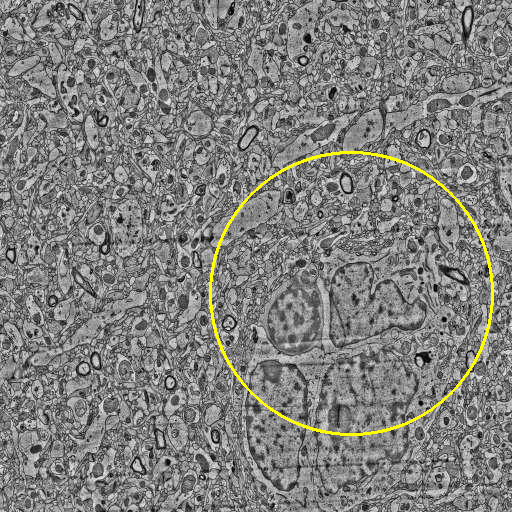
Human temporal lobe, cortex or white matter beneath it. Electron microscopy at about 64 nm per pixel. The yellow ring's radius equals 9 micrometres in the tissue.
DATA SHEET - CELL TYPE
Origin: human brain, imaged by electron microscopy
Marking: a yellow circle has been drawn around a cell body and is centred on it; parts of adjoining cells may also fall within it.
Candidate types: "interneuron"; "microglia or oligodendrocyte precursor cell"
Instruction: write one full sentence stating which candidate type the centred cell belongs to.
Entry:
The cell body at the centre of the yellow ring in this micrograph belongs to a microglial cell or oligodendrocyte precursor cell.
